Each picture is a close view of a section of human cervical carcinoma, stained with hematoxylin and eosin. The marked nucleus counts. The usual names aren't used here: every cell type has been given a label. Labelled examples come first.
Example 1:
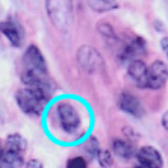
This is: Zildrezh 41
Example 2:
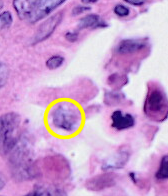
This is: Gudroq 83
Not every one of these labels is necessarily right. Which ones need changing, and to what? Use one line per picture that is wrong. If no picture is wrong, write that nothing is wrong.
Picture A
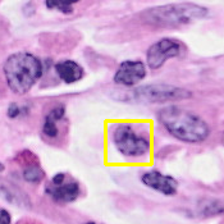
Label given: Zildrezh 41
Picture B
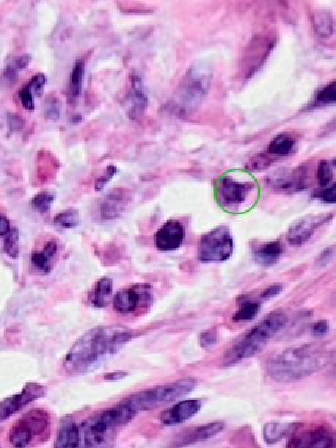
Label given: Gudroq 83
A: Gudroq 83, not Zildrezh 41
